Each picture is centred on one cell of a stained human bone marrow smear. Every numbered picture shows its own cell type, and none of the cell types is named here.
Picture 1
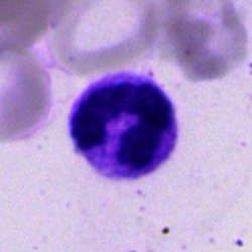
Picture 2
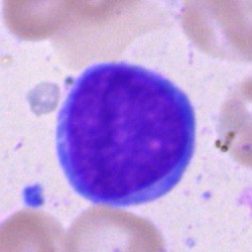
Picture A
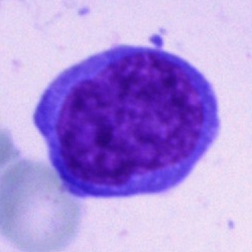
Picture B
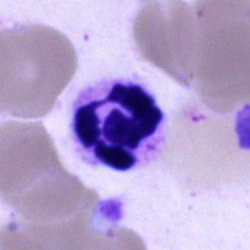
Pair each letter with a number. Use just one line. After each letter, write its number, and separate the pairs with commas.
A 2, B 1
